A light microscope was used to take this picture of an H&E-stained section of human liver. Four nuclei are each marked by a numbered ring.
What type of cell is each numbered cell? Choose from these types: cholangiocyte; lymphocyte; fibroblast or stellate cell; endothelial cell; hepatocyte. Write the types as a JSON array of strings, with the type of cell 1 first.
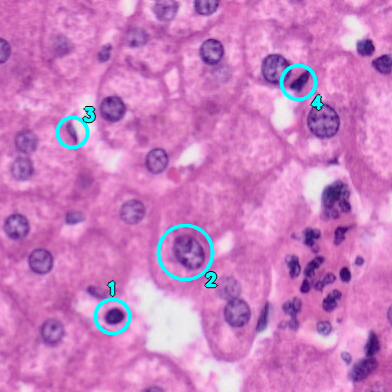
["lymphocyte", "hepatocyte", "endothelial cell", "fibroblast or stellate cell"]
